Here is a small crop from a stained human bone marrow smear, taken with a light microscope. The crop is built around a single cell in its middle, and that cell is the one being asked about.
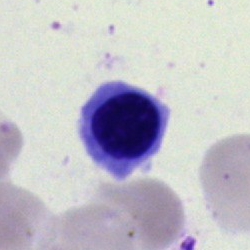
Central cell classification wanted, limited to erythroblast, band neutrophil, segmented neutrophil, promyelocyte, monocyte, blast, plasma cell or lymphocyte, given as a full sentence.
The cell under consideration, at the middle of the crop, is an erythroblast.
